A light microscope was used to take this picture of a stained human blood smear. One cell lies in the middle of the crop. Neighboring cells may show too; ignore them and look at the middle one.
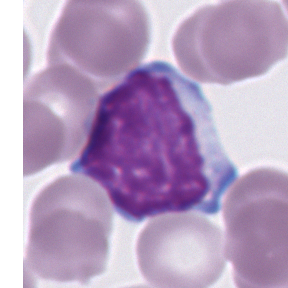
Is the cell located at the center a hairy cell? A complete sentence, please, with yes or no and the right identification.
No, the cell at the centre is categorised not as a hairy cell but as a typical lymphocyte.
